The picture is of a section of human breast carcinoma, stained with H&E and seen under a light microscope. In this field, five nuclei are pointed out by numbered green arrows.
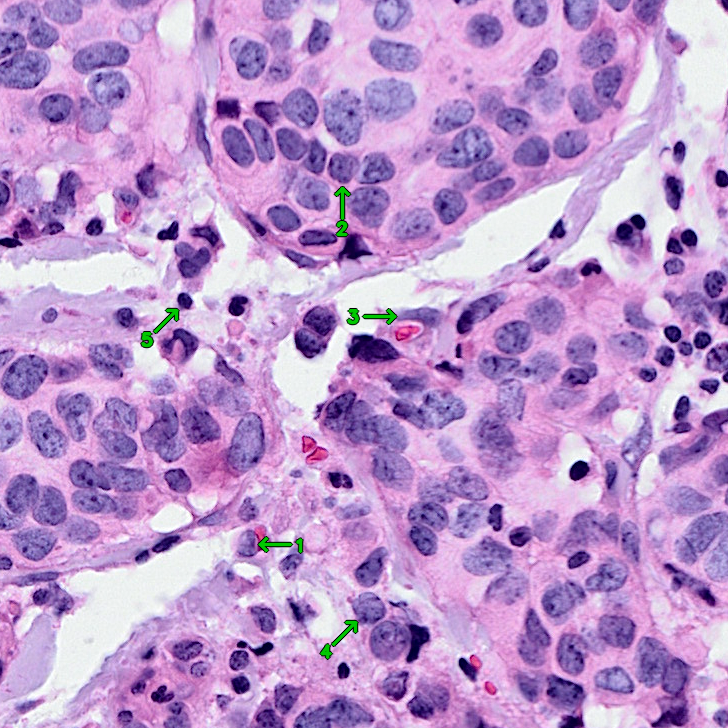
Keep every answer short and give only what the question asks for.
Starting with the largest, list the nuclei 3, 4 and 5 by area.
4, 3, 5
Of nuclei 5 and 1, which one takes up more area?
1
